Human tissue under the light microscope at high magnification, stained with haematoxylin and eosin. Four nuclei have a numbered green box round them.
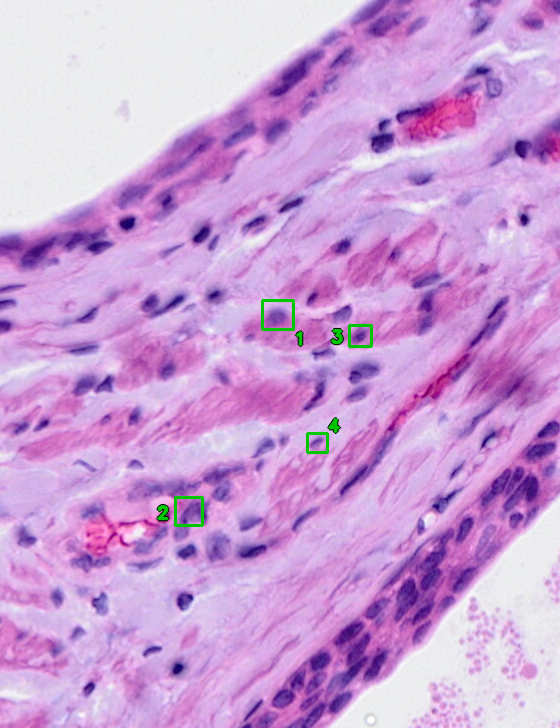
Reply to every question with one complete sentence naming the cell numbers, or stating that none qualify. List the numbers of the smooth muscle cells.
Cells 1, 3 and 4 are of one type, namely smooth muscle cells.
